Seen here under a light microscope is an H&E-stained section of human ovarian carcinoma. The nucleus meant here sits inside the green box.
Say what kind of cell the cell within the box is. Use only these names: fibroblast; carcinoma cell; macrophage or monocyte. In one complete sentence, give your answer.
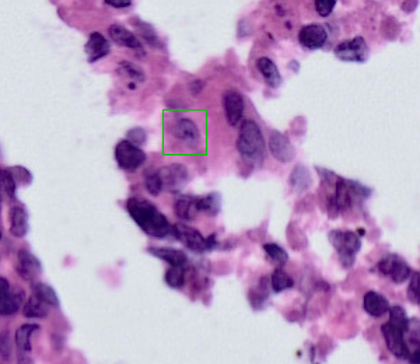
Labelled by cell type, the cell within the box is a macrophage or monocyte.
